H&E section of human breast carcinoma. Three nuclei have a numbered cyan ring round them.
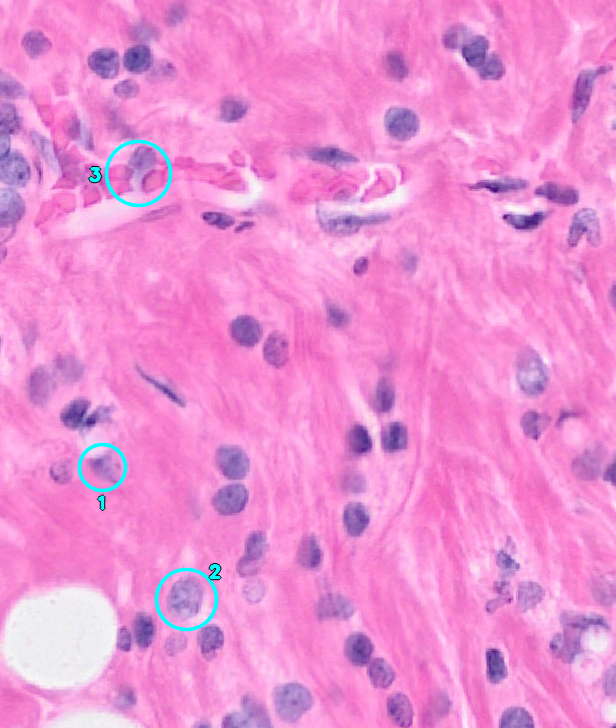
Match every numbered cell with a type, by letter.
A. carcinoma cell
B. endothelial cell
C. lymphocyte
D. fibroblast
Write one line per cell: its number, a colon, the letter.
1: D
2: A
3: B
